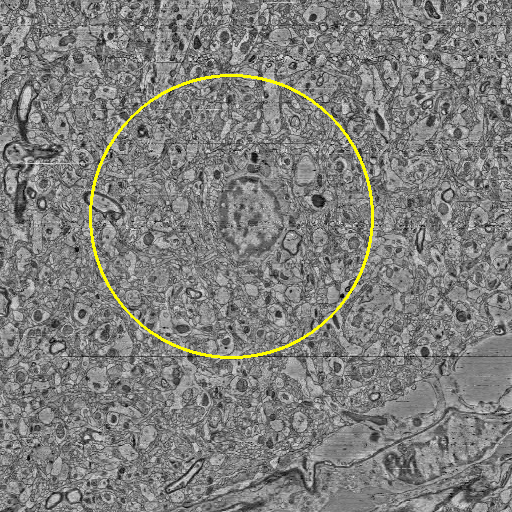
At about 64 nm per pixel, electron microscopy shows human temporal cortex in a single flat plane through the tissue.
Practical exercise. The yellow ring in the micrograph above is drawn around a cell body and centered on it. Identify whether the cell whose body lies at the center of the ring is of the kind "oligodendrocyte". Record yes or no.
yes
